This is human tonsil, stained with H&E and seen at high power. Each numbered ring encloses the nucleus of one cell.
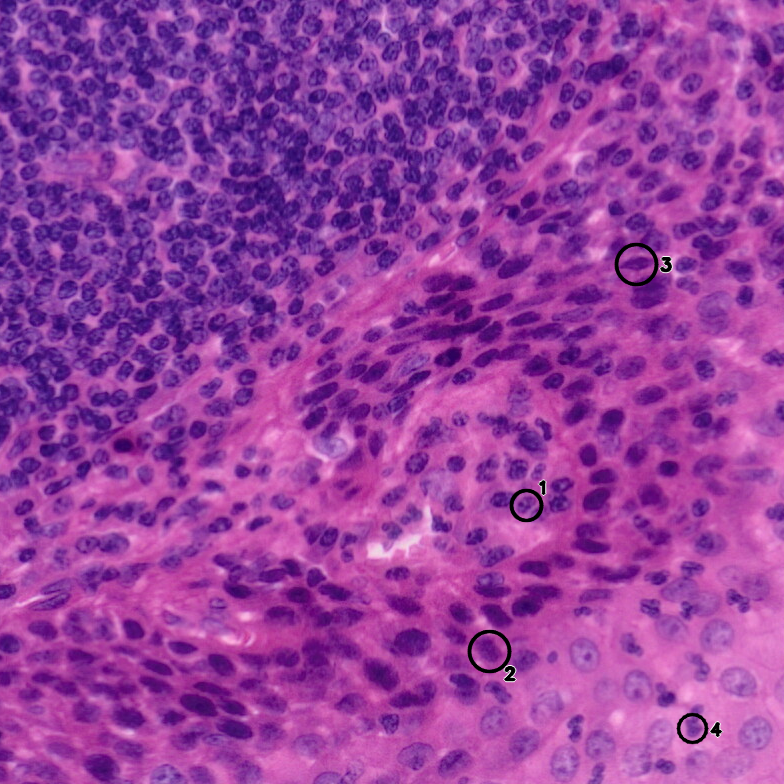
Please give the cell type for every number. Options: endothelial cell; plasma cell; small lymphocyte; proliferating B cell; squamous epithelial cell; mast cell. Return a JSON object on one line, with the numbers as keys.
{"1": "plasma cell", "2": "squamous epithelial cell", "3": "squamous epithelial cell", "4": "squamous epithelial cell"}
